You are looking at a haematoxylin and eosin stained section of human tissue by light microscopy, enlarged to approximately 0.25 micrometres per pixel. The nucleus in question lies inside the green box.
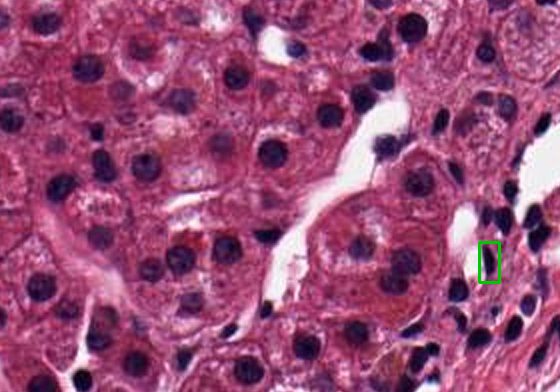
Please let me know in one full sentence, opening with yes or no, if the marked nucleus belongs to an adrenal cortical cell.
No, the marked nucleus is not housed in an adrenal cortical cell but in a supporting cell.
